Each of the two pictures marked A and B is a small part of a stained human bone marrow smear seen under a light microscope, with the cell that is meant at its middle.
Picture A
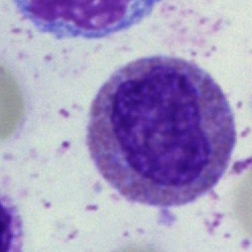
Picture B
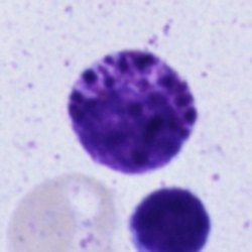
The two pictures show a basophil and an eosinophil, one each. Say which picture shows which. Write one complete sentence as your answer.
The cell in picture A is an eosinophil, and the one in picture B is a basophil.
